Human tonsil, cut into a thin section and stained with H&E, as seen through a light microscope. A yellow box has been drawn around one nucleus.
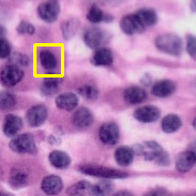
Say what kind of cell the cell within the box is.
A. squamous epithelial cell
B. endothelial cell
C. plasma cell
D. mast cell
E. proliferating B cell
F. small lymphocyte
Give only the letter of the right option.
C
